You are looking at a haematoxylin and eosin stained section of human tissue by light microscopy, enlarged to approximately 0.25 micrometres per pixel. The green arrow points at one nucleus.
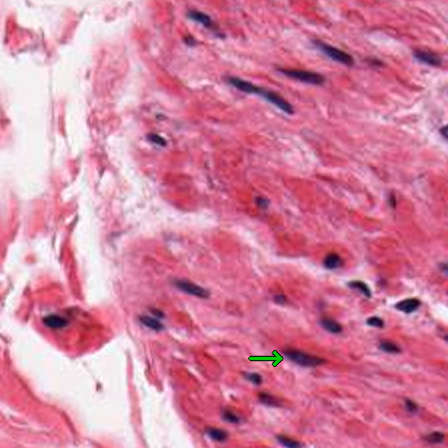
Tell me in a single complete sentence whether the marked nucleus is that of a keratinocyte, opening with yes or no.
No, in the field shown, the nucleus that is marked is not from a keratinocyte.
